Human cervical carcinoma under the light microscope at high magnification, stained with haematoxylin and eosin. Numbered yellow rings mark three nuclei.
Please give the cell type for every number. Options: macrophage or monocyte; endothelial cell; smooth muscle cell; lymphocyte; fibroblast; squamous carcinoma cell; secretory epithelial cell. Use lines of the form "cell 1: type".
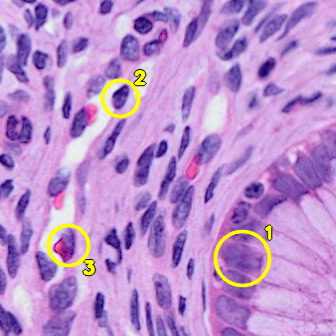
cell 1: secretory epithelial cell
cell 2: endothelial cell
cell 3: endothelial cell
